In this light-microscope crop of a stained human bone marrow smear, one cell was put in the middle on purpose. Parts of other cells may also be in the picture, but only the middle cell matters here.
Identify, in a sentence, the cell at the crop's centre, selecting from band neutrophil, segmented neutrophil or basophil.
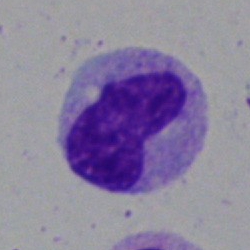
Looking at the middle of the crop, the cell there is a band neutrophil.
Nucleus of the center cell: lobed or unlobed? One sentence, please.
The nucleus amounts to one compact mass with a round, oval or kidney-shaped outline.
